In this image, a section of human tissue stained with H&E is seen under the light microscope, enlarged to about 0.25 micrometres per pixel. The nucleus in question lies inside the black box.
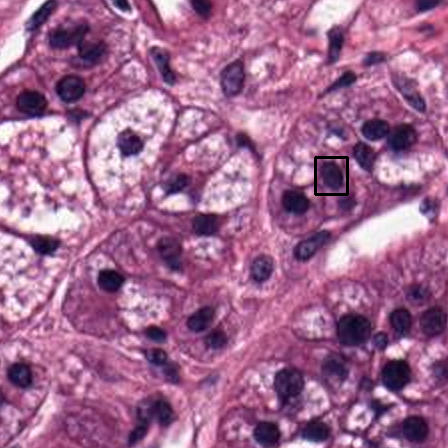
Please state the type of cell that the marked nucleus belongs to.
adrenal cortical cell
